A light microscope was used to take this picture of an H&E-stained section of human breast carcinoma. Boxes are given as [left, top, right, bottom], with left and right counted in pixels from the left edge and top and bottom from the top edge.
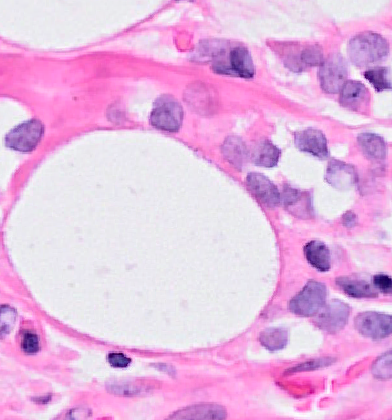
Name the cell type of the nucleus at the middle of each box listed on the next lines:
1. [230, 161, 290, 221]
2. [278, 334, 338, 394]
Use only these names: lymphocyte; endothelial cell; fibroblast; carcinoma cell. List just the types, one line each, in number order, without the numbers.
carcinoma cell
endothelial cell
